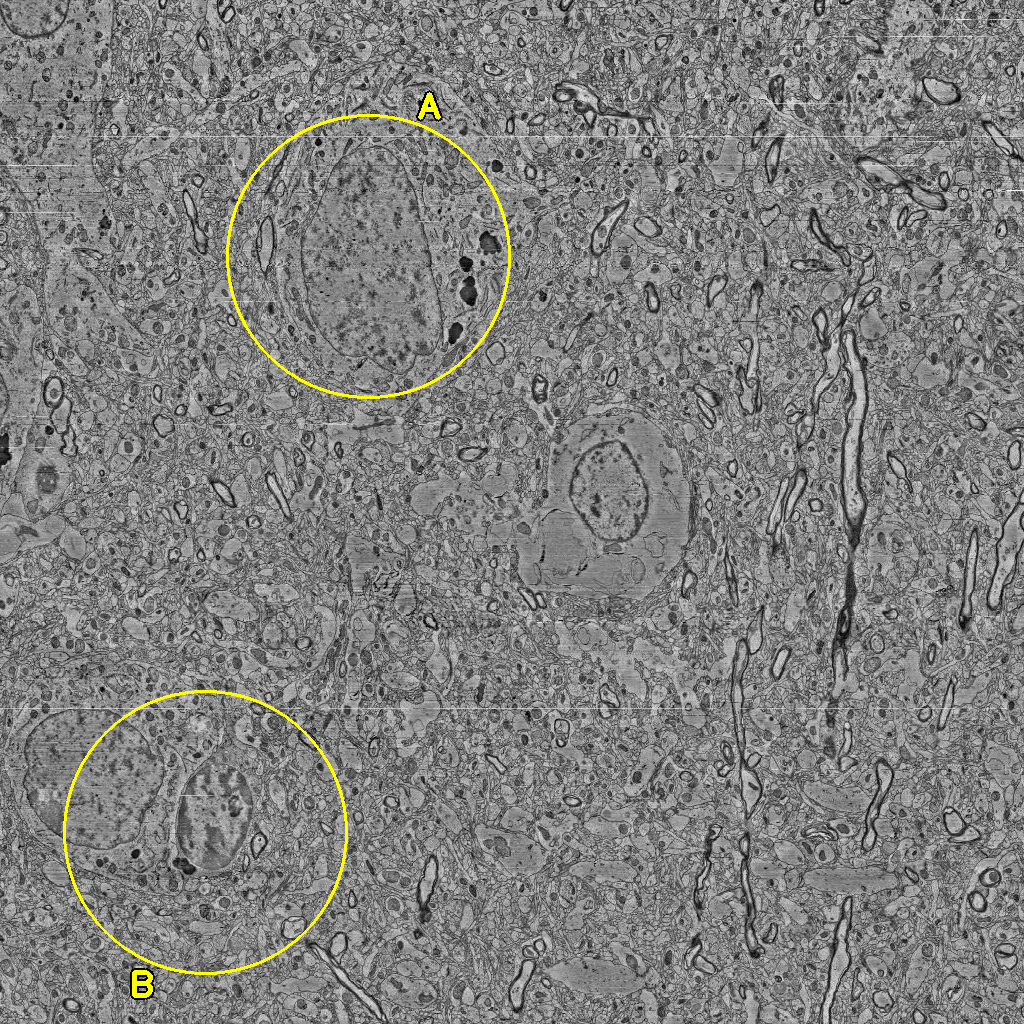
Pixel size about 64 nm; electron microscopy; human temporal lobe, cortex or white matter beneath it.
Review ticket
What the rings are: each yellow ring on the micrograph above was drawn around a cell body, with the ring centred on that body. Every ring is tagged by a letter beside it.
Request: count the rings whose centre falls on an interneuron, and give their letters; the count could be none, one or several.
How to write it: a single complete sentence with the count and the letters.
The ring beside the letter A is the single ring centred on an interneuron.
